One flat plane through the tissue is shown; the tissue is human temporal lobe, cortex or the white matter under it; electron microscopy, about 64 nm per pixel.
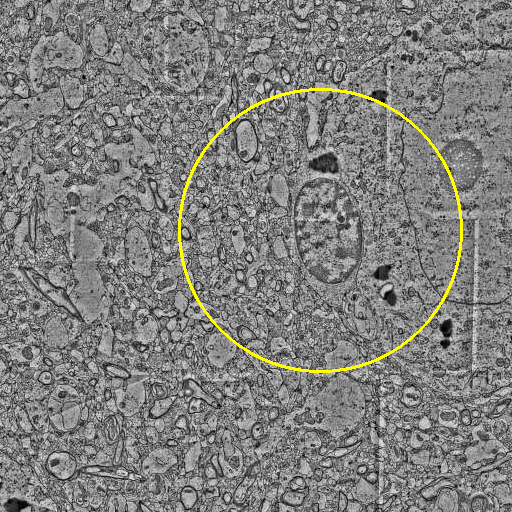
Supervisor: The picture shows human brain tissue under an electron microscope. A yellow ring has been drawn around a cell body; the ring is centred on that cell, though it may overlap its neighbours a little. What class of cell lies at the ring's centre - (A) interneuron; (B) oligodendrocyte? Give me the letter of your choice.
B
